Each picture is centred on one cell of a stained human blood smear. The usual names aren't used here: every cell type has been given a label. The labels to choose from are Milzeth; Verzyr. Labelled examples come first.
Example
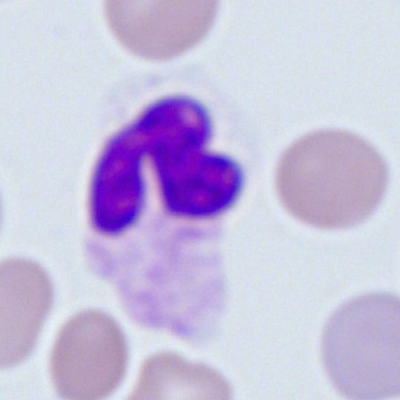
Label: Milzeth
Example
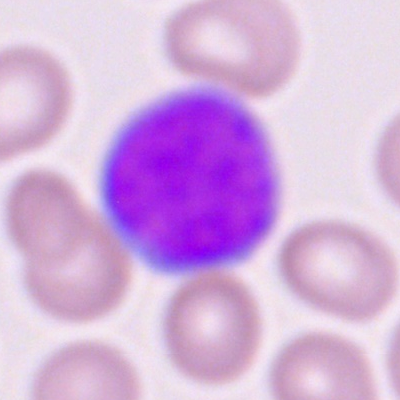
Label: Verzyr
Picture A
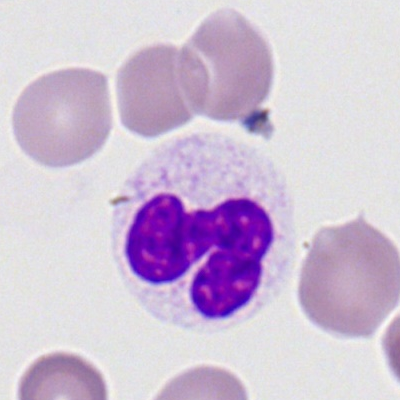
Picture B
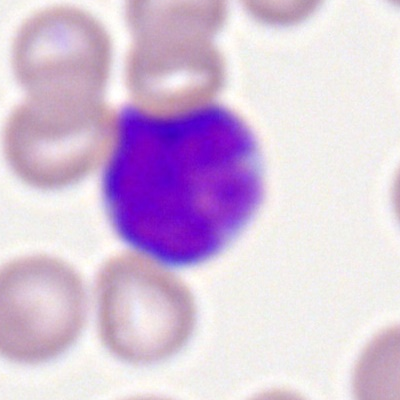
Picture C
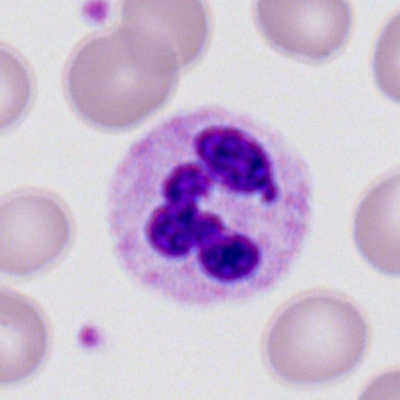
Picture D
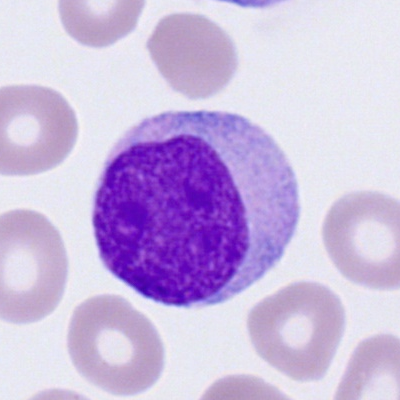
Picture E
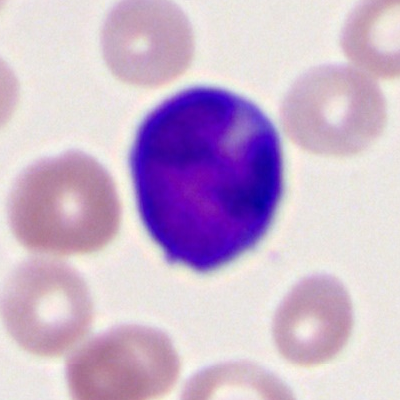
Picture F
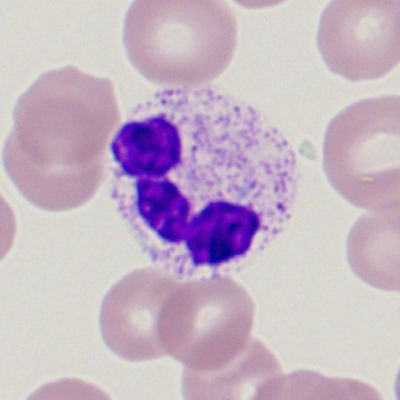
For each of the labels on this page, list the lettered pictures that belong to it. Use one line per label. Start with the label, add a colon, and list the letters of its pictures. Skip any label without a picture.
Milzeth: A, C, F
Verzyr: B, D, E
